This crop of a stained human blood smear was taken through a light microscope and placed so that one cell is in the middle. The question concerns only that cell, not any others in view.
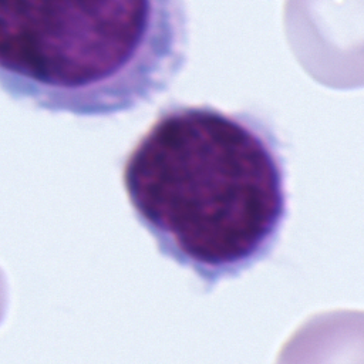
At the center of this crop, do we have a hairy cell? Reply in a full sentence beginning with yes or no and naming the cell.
Yes, the cell lying in the middle is a hairy cell.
